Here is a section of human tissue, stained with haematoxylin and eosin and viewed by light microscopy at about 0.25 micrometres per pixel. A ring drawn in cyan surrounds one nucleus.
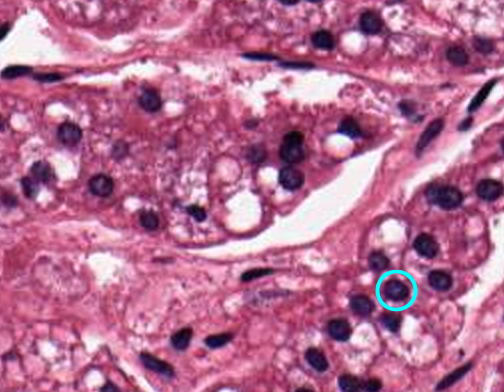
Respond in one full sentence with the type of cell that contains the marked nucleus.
The cell bearing the marked nucleus is an adrenal cortical cell.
